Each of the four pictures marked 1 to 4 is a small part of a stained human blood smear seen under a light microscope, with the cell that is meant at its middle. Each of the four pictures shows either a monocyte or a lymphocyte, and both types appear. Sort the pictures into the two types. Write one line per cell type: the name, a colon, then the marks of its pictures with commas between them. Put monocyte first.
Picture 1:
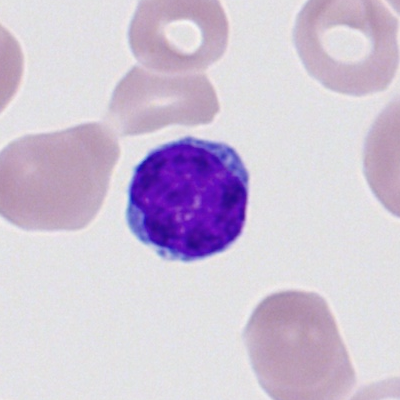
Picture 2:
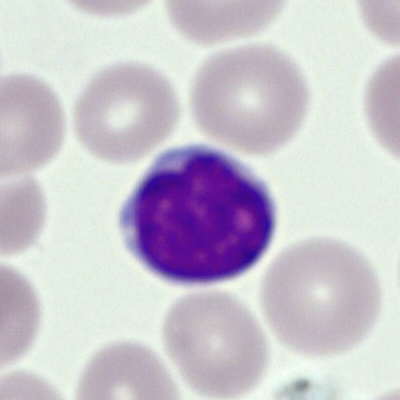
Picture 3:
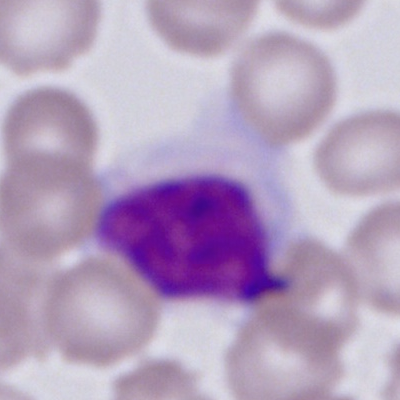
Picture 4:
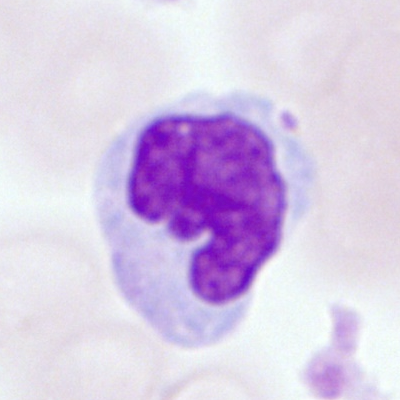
monocyte: 4
lymphocyte: 1, 2, 3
